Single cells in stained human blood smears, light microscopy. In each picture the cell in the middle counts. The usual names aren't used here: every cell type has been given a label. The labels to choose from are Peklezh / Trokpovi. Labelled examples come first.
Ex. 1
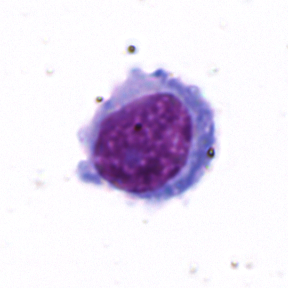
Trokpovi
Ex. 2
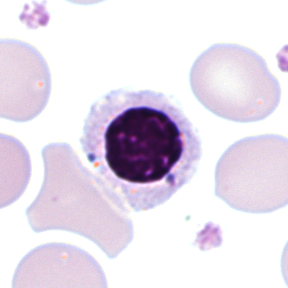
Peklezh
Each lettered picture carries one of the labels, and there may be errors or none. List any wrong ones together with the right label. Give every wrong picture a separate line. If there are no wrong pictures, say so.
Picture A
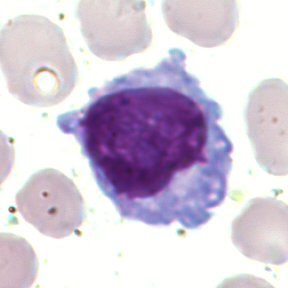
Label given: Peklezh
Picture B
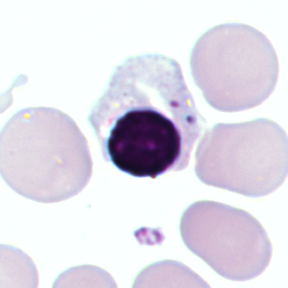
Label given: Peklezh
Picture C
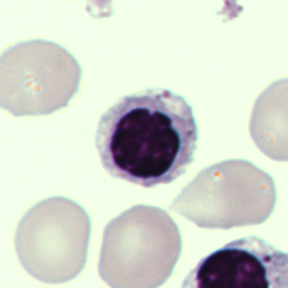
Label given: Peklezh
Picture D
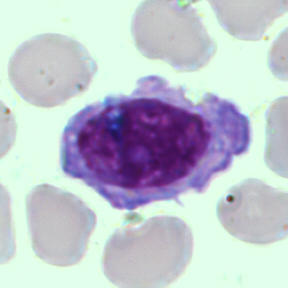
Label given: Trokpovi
A: change Peklezh to Trokpovi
